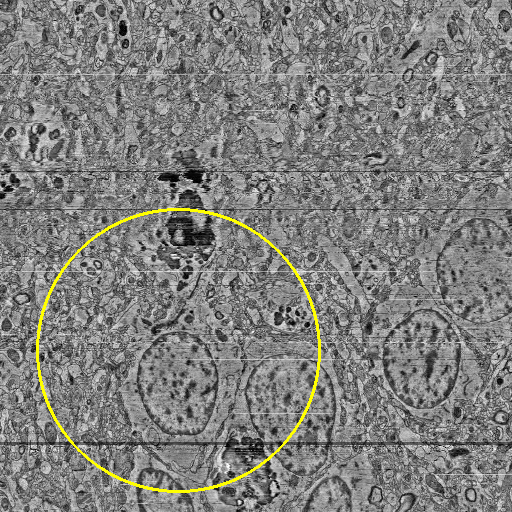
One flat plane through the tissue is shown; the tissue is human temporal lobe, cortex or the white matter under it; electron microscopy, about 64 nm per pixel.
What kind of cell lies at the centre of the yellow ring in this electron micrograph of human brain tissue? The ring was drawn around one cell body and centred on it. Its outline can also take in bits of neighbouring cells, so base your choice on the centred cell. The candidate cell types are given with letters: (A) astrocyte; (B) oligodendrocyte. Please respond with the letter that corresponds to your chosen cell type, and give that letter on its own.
A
